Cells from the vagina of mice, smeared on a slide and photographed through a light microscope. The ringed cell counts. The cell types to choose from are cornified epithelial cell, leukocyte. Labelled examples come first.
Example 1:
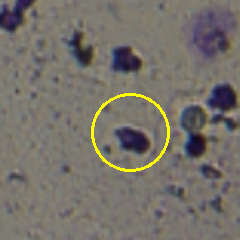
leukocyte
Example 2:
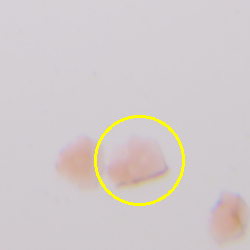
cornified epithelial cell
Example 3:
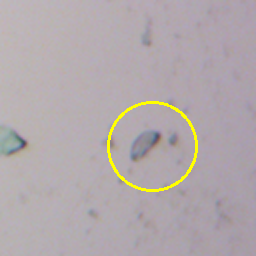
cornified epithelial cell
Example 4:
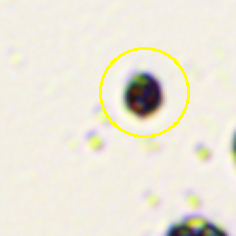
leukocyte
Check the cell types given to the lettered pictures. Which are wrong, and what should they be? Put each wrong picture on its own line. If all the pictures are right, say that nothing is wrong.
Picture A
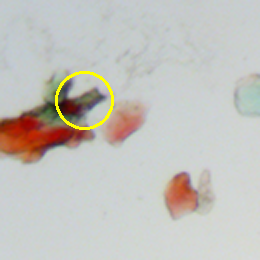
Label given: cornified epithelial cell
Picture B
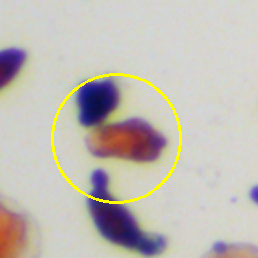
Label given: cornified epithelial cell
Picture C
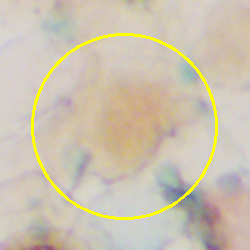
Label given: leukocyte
C is labelled leukocyte; correct label: cornified epithelial cell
